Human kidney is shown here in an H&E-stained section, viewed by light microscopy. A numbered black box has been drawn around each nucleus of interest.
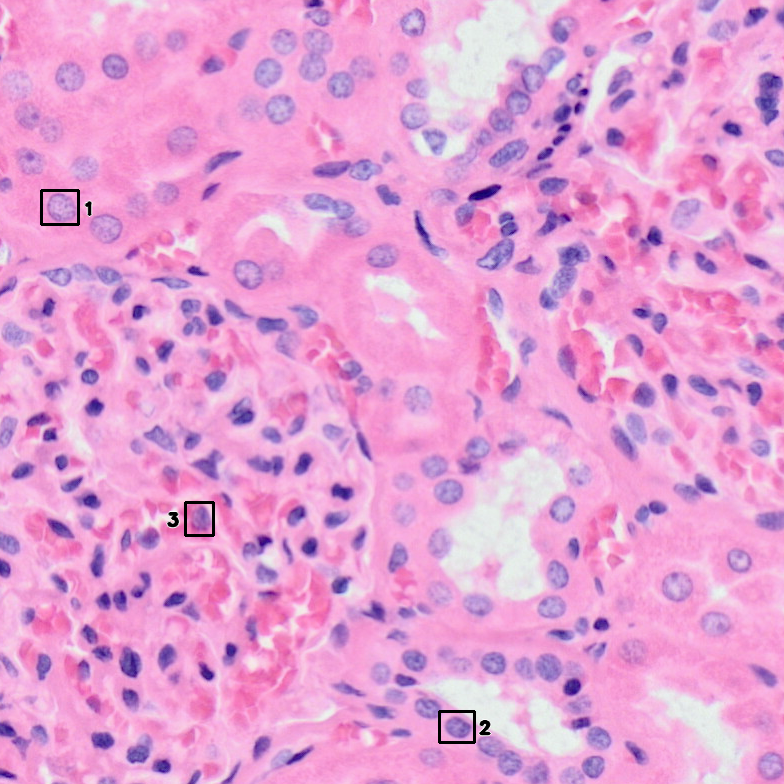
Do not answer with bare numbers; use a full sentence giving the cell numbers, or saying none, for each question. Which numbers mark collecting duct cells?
Among the numbered nuclei, only the one labelled 2 belongs to a collecting duct cell.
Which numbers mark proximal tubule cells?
Of all the numbered cells, only cell 1 is a proximal tubule cell.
